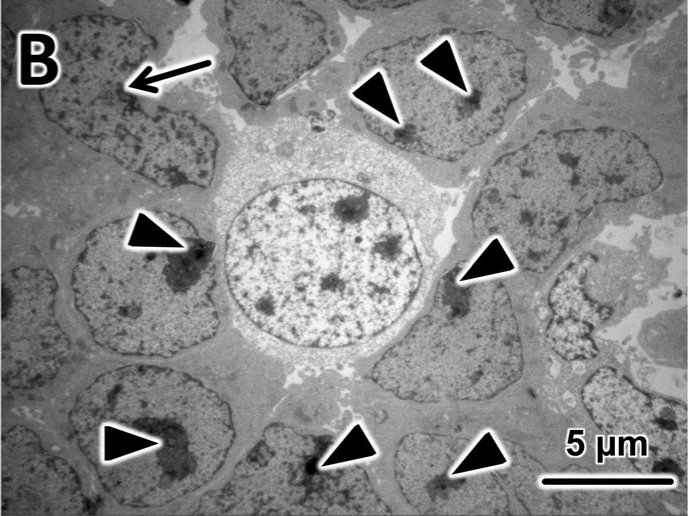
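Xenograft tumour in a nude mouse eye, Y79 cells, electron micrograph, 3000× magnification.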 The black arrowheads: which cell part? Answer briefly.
Multiple nucleoli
